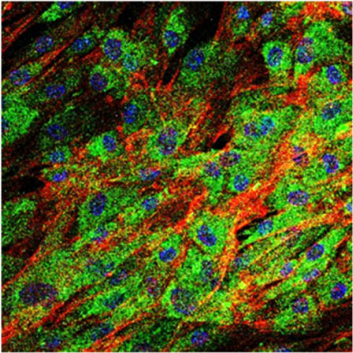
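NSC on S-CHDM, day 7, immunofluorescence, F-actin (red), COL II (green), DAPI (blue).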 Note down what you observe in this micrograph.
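Densely packed, elongated to polygonal cultured cells cover the field, each with one round to oval blue nucleus. Red filament bundles outline and cross the cells, while a fine granular green label spreads through the cytoplasm around the nuclei.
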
